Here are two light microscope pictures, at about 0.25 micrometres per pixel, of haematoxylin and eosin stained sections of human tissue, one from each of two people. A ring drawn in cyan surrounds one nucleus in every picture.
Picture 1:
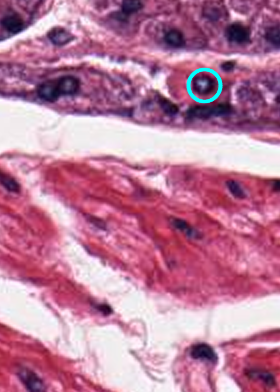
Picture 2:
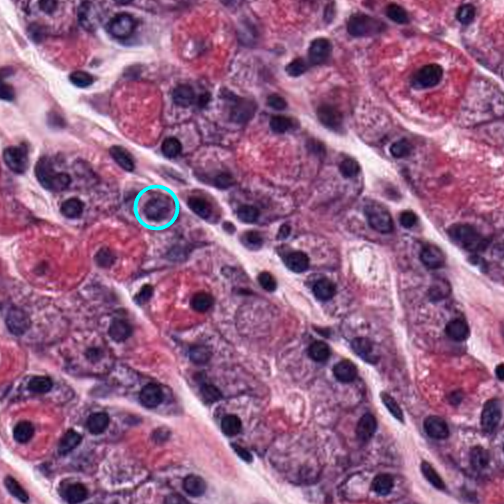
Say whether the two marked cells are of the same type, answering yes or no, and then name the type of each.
No, the first is a parietal cell and the second a chief cell.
